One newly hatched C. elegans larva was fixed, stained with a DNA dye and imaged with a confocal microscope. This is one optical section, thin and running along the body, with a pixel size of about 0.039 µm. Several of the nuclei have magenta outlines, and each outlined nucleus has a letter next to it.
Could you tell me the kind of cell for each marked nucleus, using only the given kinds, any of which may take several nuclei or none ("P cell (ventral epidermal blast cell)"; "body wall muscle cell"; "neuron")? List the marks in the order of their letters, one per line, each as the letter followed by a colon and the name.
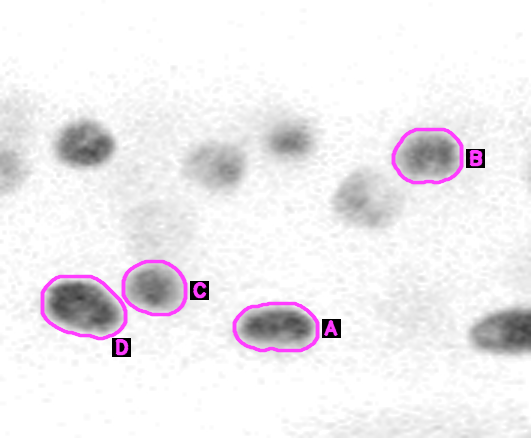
A: body wall muscle cell
B: body wall muscle cell
C: neuron
D: body wall muscle cell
